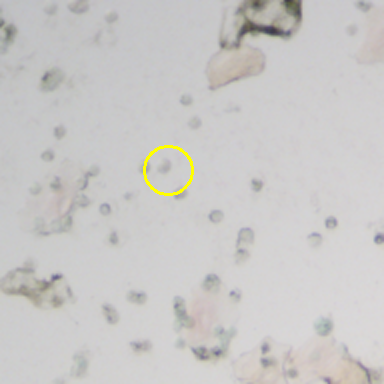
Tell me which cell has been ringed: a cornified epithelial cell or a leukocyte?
It is a leukocyte.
